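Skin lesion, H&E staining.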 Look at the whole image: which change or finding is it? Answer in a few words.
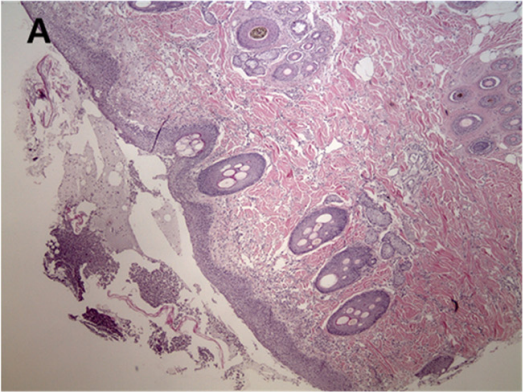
Superficial crusting.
